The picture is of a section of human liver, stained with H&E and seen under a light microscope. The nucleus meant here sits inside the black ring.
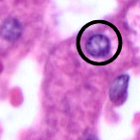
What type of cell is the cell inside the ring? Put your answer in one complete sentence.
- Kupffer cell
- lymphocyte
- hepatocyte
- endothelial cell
The cell inside the ring is a hepatocyte.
